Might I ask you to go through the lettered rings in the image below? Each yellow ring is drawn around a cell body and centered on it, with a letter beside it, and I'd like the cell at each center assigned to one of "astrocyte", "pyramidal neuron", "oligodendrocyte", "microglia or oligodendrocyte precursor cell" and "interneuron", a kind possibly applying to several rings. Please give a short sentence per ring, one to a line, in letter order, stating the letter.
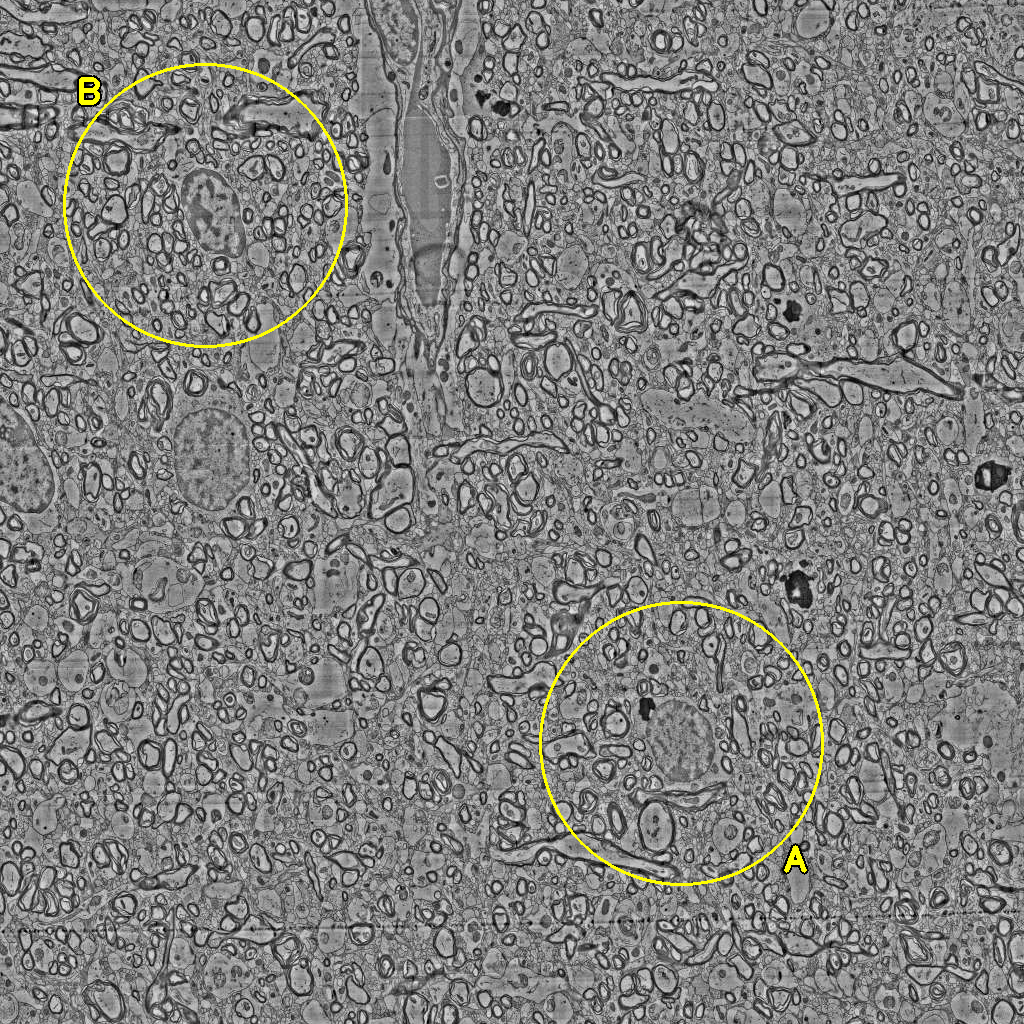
Ring A is centered on the body of an oligodendrocyte.
Ring B is centered on the body of a microglial cell or oligodendrocyte precursor cell.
